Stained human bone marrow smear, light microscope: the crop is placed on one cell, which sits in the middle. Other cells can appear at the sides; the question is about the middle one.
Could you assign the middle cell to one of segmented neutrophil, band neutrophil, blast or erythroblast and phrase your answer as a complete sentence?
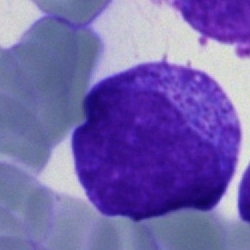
The cell at the middle of the frame should be recorded as a blast.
